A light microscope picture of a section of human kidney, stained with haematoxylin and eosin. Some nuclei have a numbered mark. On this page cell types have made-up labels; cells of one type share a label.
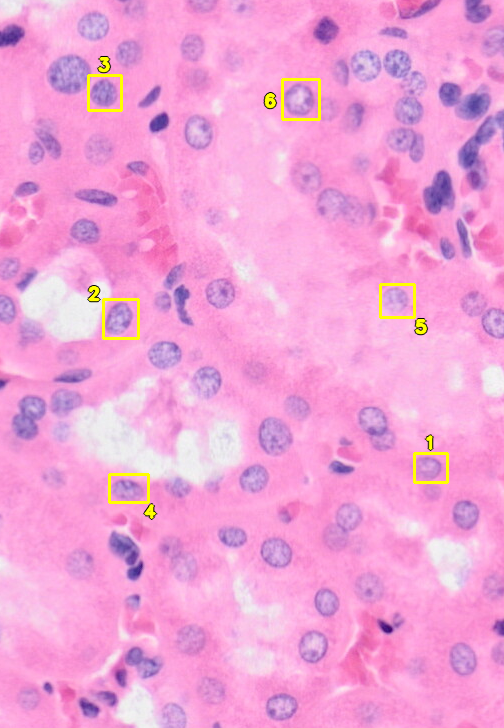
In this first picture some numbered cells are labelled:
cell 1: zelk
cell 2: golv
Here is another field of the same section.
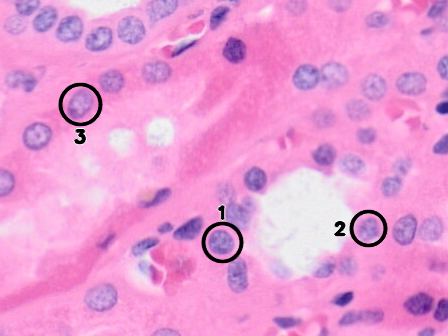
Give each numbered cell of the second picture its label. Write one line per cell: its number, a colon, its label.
1: golv
2: golv
3: zelk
